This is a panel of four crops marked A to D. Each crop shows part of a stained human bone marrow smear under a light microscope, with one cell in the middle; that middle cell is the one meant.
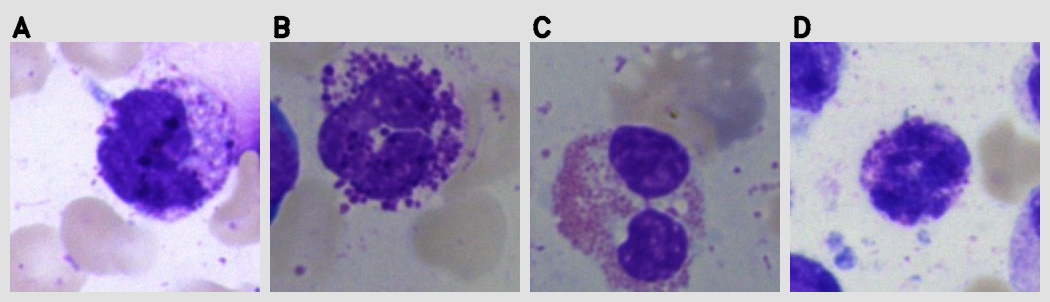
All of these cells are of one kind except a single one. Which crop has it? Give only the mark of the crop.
C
